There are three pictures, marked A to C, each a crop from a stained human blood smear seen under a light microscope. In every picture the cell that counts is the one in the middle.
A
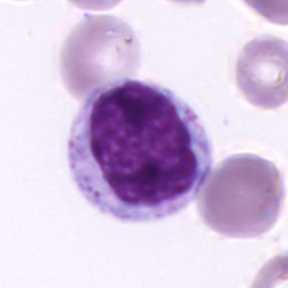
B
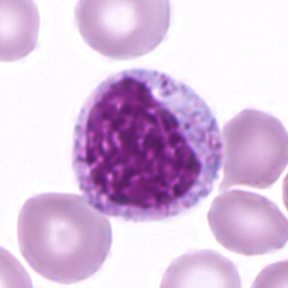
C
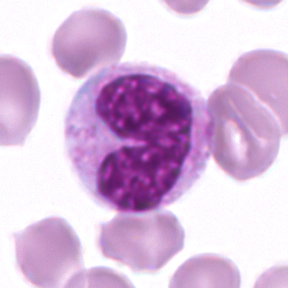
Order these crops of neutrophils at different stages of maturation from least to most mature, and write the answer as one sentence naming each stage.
In order from least mature to most mature, the crops stand crop B (a myelocyte), crop A (a metamyelocyte) and crop C (a band neutrophil).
